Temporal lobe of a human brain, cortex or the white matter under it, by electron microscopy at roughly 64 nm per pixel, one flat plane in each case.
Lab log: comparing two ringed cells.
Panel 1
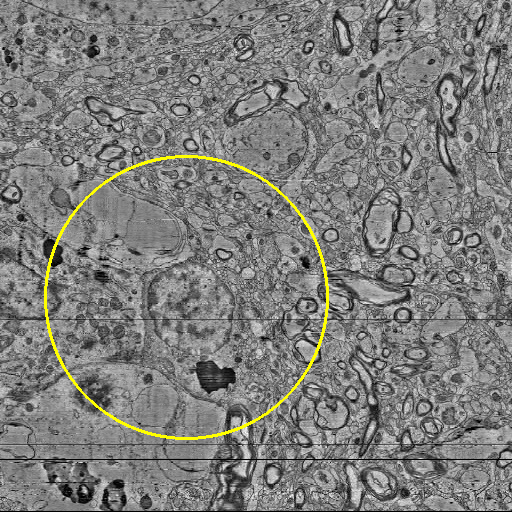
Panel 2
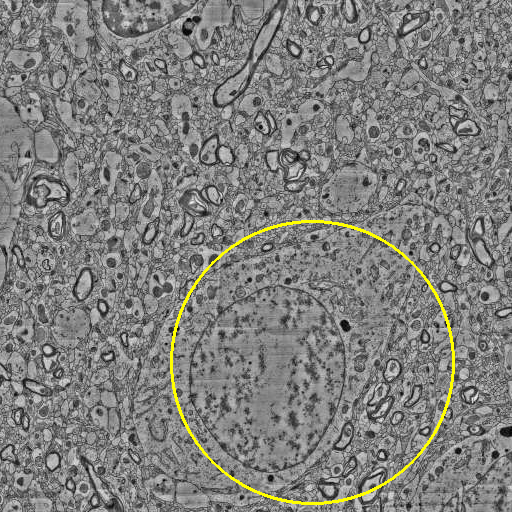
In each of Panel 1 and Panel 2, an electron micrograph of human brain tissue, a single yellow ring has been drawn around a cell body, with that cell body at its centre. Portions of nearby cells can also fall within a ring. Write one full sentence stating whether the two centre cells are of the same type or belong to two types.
The cells at the ring centres in Panel 1 and Panel 2 belong to two types.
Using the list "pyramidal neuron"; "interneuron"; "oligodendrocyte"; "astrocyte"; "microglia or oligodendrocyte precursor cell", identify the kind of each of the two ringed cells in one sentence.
The first is an oligodendrocyte and the second is a pyramidal neuron.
